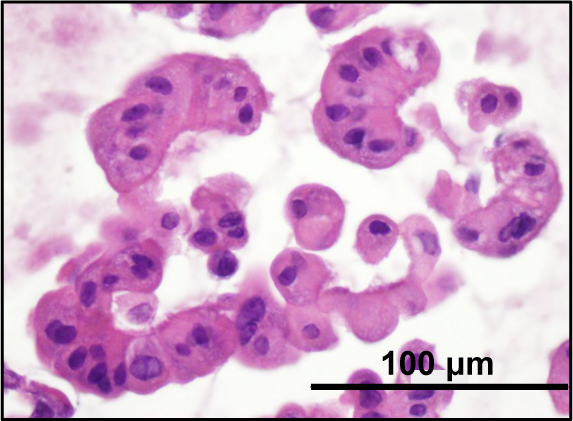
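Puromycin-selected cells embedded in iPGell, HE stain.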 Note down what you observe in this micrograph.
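Hepatocyte-like cells in a pale matrix, gathered in small clusters and curved, folded cords one to two cells thick. Cells are polygonal to rounded with ample pink to magenta cytoplasm. Nuclei are round to oval, dark purple, mostly central, several cells holding more than one nucleus. Some clusters enclose small clear spaces. Loose single cells and small groups lie apart from the larger cords in the surrounding pale, lightly pink material.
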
